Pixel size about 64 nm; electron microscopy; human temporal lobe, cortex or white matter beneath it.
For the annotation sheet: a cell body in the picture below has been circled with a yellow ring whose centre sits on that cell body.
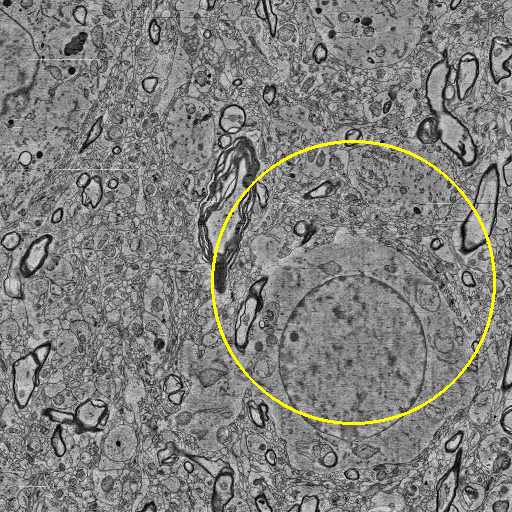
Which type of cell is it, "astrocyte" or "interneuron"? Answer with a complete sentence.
The circled cell is an astrocyte.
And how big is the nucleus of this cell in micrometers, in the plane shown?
In this plane the nucleus spans approximately 11 by 9 micrometers.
